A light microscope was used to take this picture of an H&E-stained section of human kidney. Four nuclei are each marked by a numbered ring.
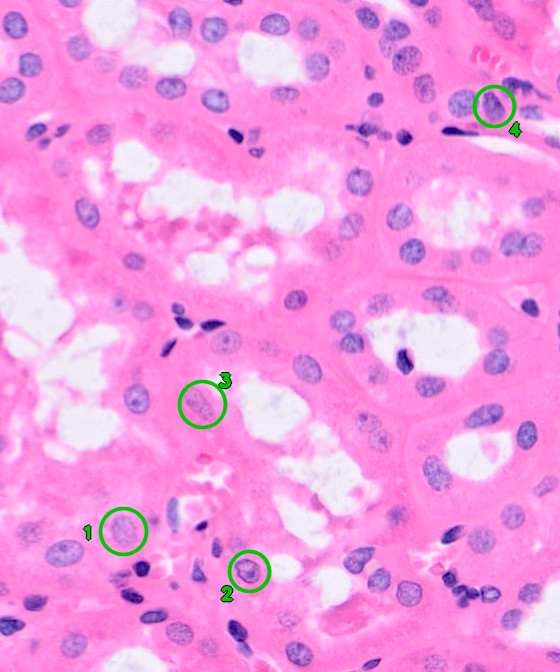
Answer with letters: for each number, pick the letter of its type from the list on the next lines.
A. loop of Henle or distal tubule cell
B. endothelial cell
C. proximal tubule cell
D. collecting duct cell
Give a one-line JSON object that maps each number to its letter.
{"1": "C", "2": "C", "3": "C", "4": "D"}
